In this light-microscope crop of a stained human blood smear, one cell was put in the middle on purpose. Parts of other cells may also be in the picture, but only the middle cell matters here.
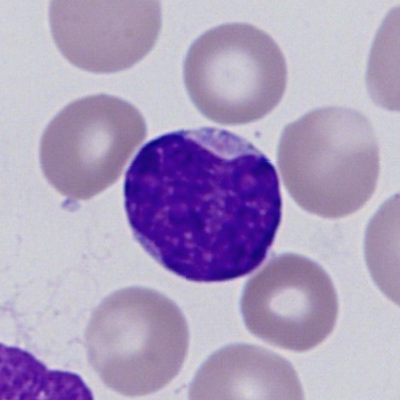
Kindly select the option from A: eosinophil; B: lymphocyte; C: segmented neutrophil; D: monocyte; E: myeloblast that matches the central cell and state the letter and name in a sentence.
The one cell at the centre is a myeloblast, as correctly stated in option E.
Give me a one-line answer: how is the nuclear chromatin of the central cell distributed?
In this nucleus, the chromatin is arranged in coarse clumps.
